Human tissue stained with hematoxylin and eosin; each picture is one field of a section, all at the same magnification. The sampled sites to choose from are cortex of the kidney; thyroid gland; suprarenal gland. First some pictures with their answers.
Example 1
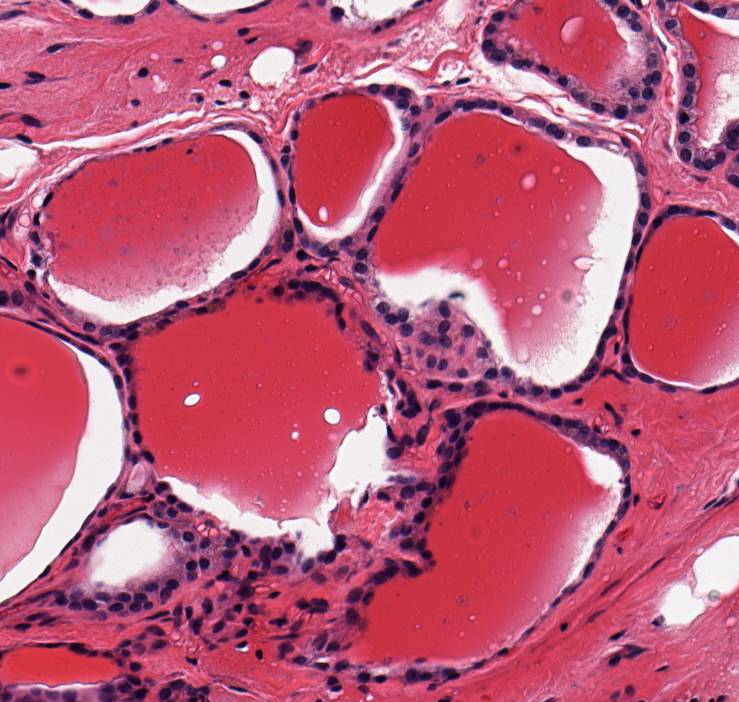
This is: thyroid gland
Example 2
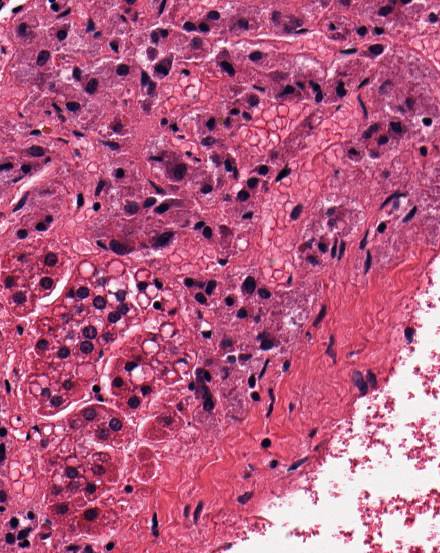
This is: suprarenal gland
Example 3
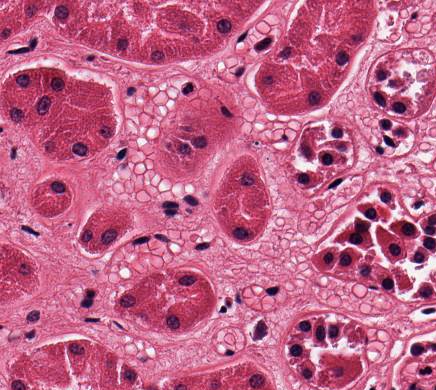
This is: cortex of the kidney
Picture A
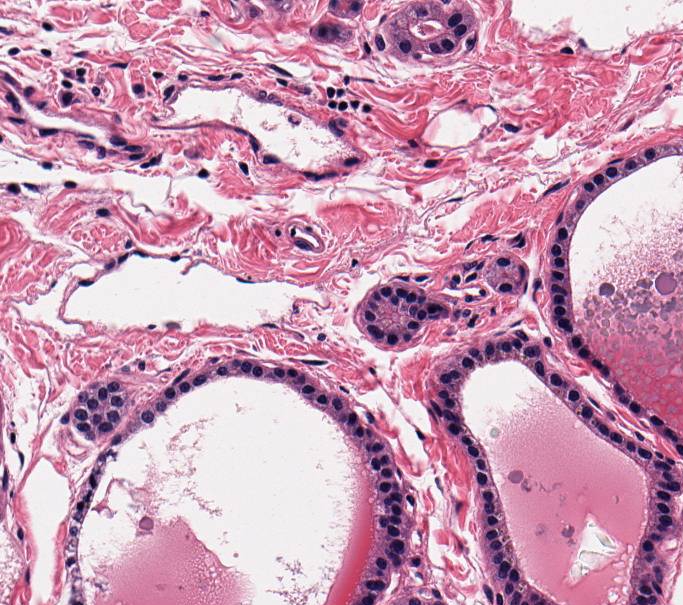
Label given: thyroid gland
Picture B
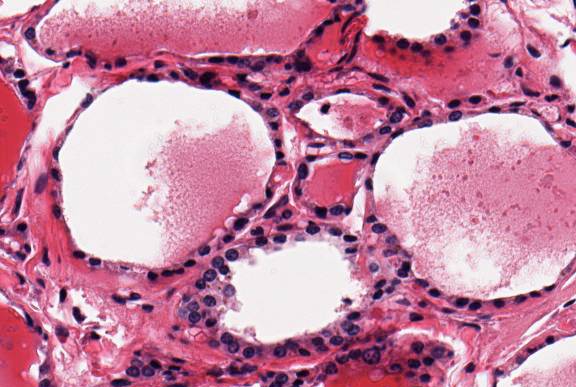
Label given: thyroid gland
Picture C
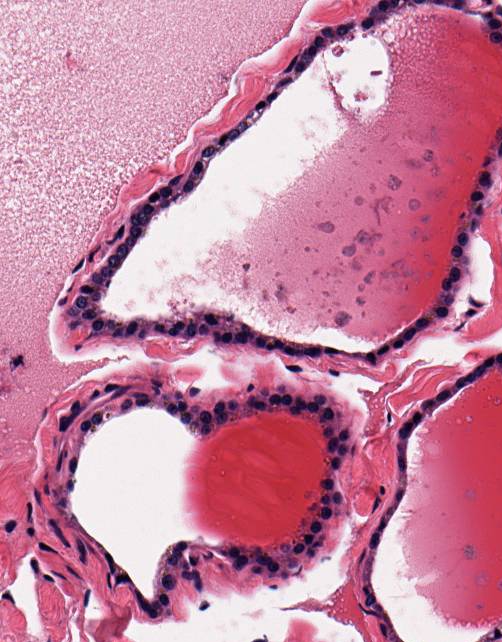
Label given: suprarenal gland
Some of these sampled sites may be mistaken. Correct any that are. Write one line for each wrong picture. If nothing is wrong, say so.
Wrong: C (suprarenal gland); correct: thyroid gland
